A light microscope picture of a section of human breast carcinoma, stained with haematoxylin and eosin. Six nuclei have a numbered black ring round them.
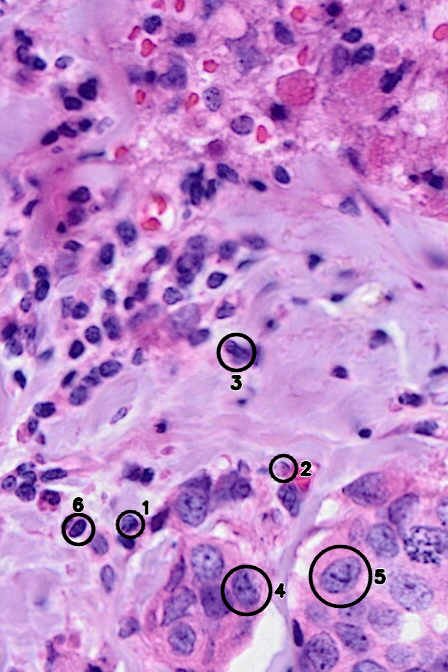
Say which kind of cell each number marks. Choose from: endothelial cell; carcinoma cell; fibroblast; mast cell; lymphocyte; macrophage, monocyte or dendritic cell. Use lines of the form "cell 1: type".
cell 1: lymphocyte
cell 2: endothelial cell
cell 3: lymphocyte
cell 4: carcinoma cell
cell 5: carcinoma cell
cell 6: lymphocyte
